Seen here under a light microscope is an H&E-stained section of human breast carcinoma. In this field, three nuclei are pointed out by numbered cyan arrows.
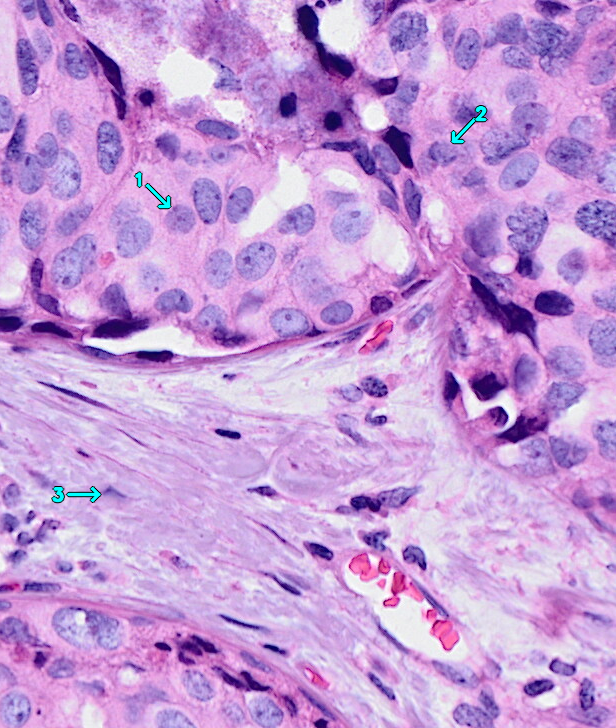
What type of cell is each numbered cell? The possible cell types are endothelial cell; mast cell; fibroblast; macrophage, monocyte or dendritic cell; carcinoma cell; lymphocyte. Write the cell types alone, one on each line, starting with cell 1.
carcinoma cell
carcinoma cell
fibroblast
